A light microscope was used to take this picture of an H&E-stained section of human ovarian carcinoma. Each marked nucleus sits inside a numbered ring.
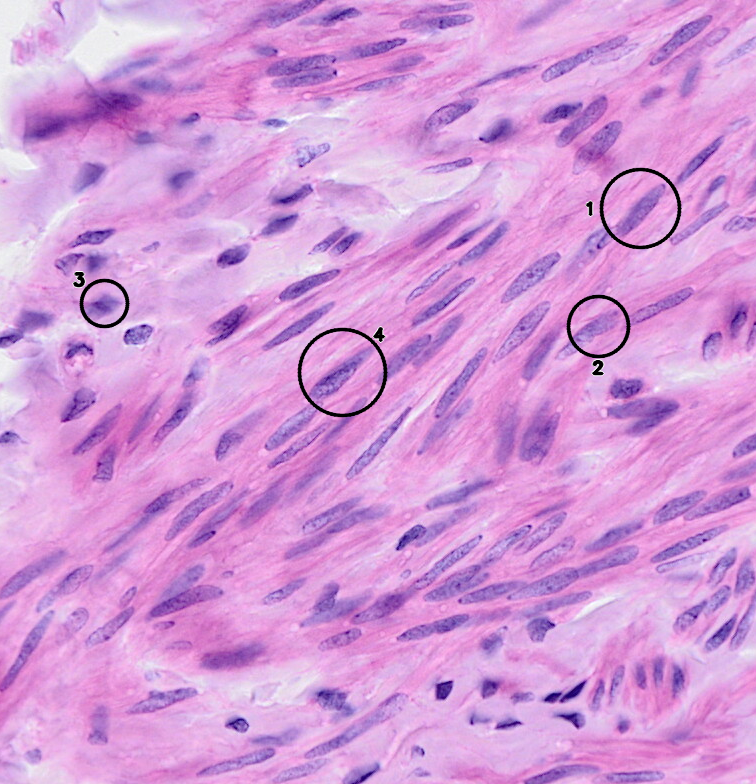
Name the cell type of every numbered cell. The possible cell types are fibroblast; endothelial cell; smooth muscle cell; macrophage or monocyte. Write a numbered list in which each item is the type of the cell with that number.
1. smooth muscle cell
2. smooth muscle cell
3. fibroblast
4. smooth muscle cell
